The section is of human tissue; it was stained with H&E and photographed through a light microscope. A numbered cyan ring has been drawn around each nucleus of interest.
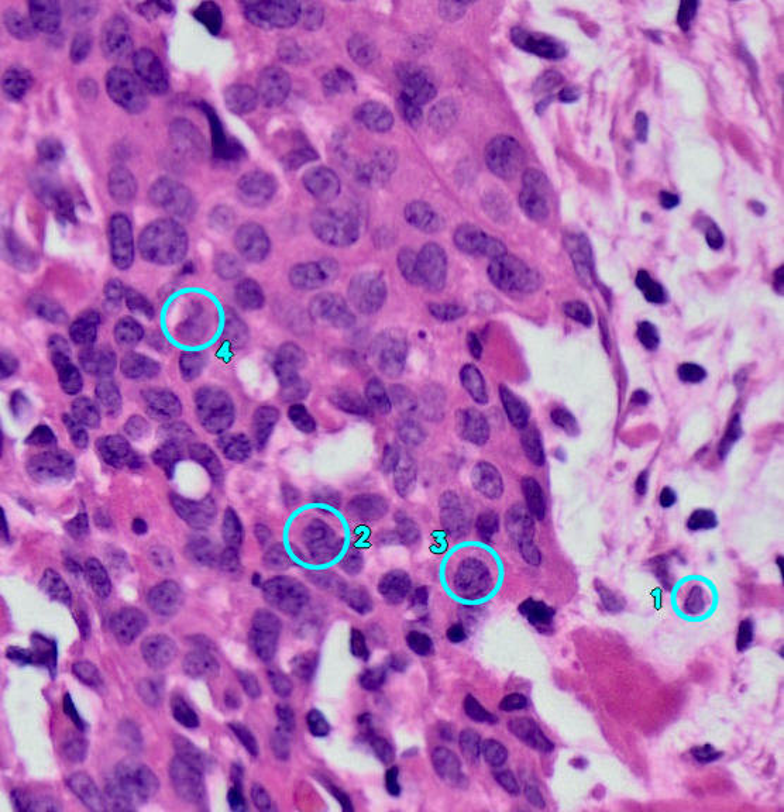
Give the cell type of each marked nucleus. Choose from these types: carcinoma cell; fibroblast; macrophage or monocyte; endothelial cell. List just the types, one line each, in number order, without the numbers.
macrophage or monocyte
carcinoma cell
carcinoma cell
carcinoma cell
